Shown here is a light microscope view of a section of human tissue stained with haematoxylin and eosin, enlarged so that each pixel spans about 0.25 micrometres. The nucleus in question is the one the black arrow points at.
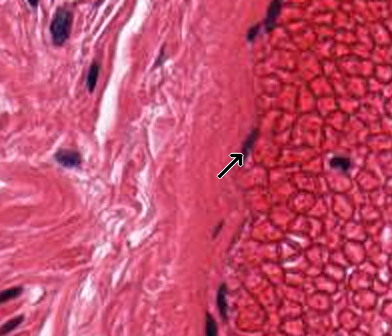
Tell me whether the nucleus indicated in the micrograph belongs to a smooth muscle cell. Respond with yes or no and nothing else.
no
